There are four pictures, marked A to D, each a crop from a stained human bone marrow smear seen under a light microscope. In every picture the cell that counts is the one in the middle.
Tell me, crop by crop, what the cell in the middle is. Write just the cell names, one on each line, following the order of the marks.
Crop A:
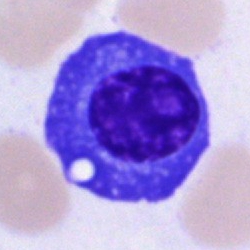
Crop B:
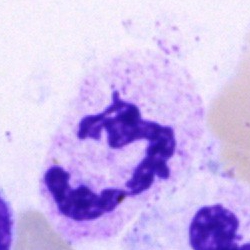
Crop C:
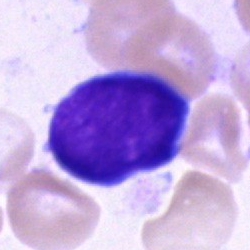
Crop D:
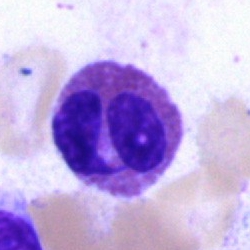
plasma cell
segmented neutrophil
blast
eosinophil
